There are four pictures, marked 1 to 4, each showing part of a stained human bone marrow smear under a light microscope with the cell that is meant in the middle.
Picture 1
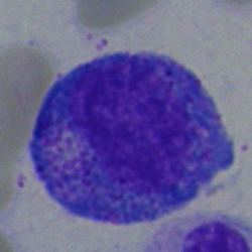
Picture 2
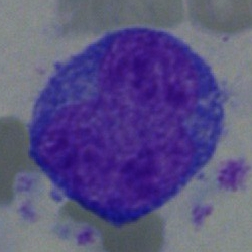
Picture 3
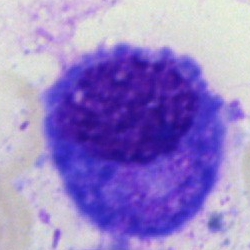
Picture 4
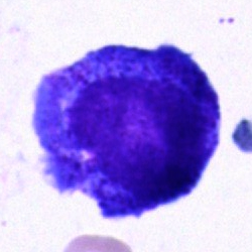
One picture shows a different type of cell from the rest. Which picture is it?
2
